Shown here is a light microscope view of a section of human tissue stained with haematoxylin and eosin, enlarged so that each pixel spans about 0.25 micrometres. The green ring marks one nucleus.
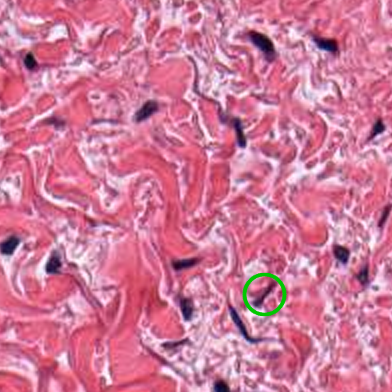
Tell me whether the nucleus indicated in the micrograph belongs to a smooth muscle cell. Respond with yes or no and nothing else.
no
